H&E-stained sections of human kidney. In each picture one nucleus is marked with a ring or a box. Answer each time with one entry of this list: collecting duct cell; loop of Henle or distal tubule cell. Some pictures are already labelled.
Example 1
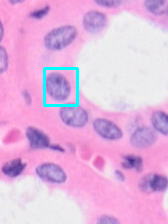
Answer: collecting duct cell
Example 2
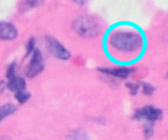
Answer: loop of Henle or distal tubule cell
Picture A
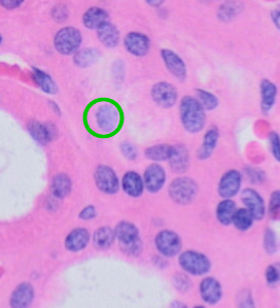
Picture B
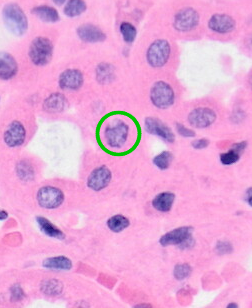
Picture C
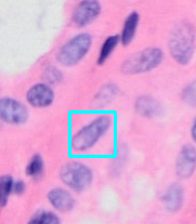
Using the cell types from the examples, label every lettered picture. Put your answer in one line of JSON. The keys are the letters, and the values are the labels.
{"A": "collecting duct cell", "B": "loop of Henle or distal tubule cell", "C": "collecting duct cell"}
